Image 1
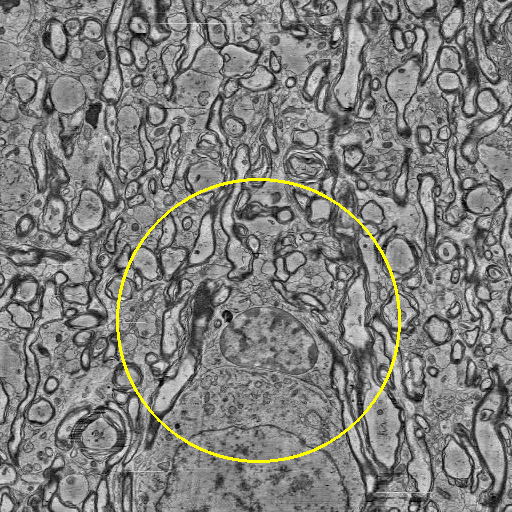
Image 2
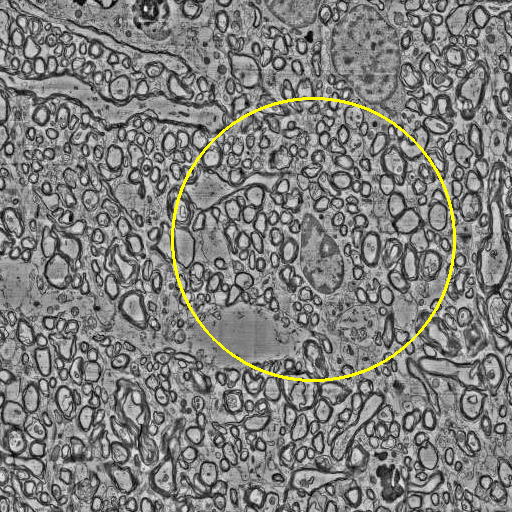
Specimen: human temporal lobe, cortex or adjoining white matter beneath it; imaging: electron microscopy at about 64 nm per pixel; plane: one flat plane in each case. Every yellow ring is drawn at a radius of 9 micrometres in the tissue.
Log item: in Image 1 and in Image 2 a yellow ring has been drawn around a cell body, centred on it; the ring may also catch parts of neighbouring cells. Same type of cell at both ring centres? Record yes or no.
yes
